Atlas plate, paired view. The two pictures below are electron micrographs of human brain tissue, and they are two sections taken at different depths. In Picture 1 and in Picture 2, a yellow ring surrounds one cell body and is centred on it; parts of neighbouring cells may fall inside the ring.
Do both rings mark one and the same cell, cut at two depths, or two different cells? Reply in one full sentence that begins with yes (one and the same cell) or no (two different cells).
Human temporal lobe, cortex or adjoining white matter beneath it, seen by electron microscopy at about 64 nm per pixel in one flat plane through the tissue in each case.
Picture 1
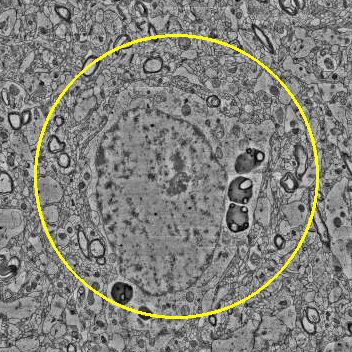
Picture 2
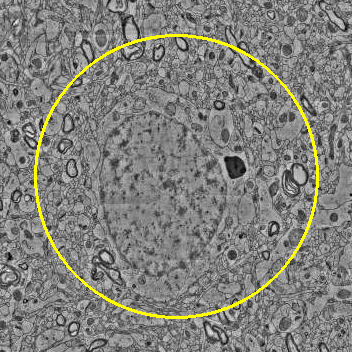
Yes, the cell inside the first ring is the cell inside the second.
